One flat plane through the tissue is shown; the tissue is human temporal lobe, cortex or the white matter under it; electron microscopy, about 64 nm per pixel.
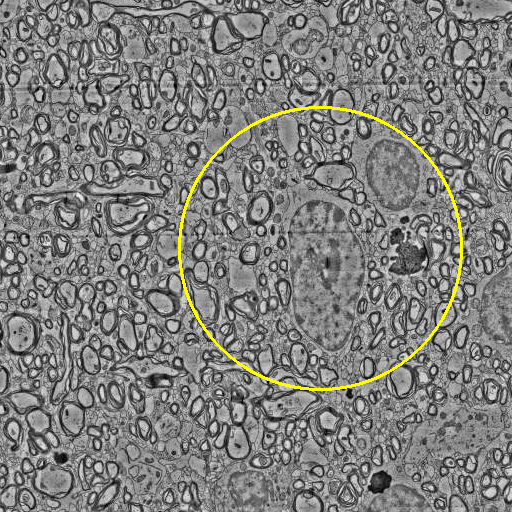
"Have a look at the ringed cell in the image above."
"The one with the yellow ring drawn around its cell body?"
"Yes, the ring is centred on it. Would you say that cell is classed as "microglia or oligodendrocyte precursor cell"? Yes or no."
yes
